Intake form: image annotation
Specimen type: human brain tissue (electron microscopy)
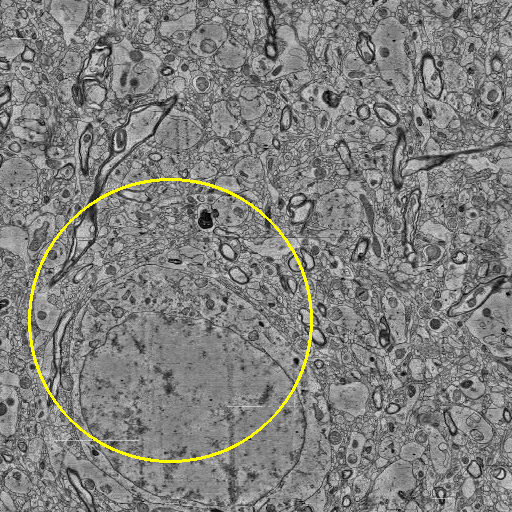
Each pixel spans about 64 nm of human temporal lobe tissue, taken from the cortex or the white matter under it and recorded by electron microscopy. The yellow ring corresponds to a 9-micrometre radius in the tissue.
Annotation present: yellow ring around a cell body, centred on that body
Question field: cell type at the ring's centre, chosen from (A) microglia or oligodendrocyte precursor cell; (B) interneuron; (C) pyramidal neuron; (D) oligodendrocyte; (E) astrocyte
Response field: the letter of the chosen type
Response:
C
